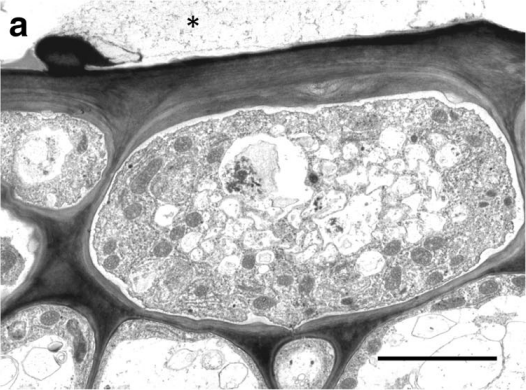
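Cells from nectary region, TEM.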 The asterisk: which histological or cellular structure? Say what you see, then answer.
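The asterisk lies in pale, flocculent material outside the thick outer wall. The material sits on the free surface, not inside any cell.
Surface secretion.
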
